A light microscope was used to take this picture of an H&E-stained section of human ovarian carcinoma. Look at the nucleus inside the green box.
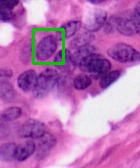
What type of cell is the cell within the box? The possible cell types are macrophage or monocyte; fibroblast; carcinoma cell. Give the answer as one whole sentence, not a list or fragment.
In this tissue sample, the cell within the box is a carcinoma cell.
